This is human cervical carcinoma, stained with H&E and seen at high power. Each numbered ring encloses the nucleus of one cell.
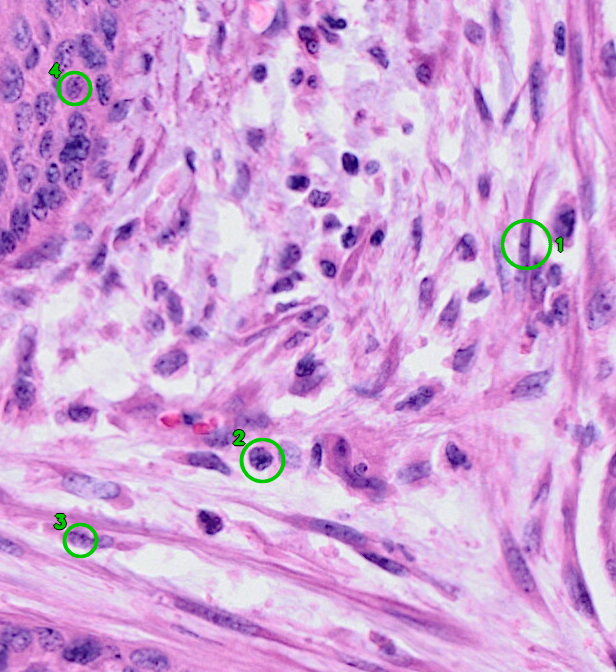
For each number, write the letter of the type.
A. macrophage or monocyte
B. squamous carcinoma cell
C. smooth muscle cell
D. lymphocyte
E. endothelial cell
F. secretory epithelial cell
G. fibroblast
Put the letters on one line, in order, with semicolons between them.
G; D; A; B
